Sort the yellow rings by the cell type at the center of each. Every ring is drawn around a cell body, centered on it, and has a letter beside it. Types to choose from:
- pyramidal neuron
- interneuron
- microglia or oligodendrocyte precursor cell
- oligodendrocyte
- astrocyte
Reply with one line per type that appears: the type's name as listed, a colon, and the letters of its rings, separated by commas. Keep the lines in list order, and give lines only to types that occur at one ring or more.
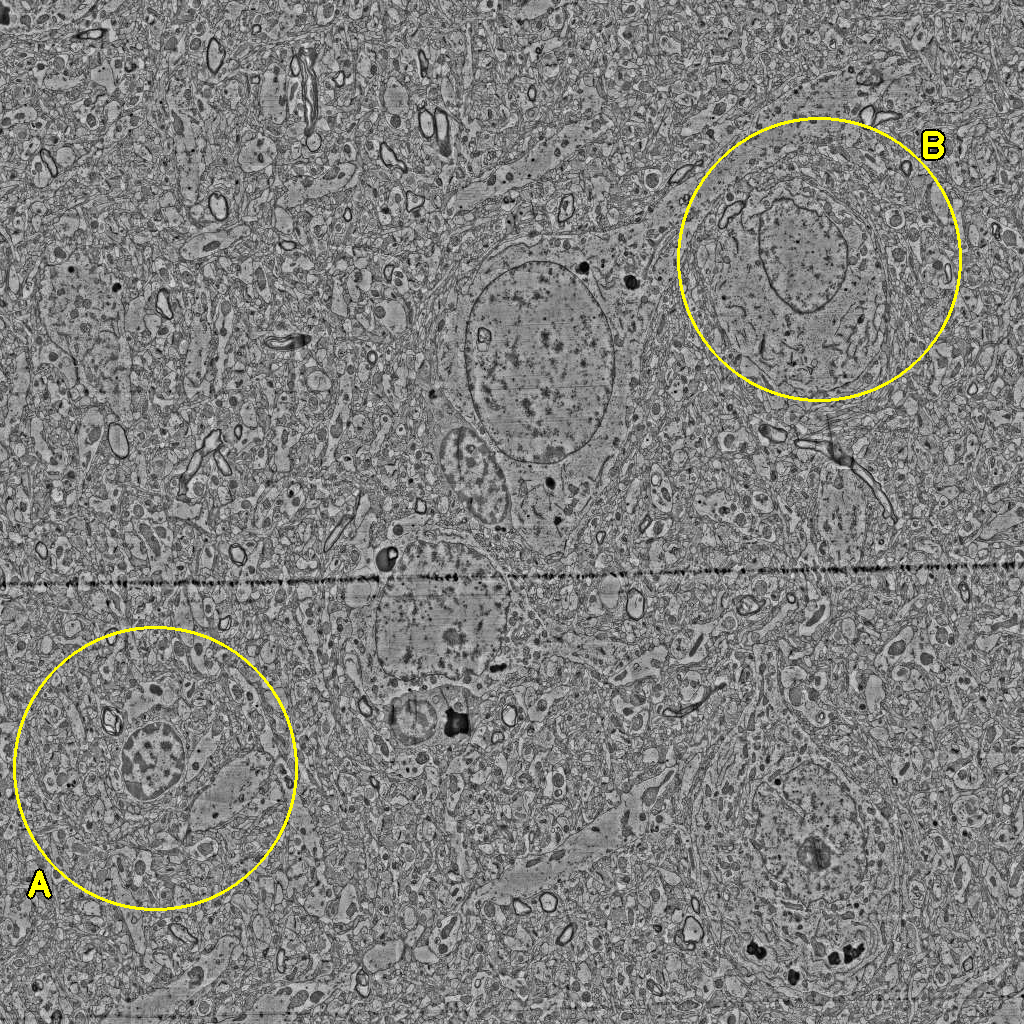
pyramidal neuron: B
microglia or oligodendrocyte precursor cell: A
